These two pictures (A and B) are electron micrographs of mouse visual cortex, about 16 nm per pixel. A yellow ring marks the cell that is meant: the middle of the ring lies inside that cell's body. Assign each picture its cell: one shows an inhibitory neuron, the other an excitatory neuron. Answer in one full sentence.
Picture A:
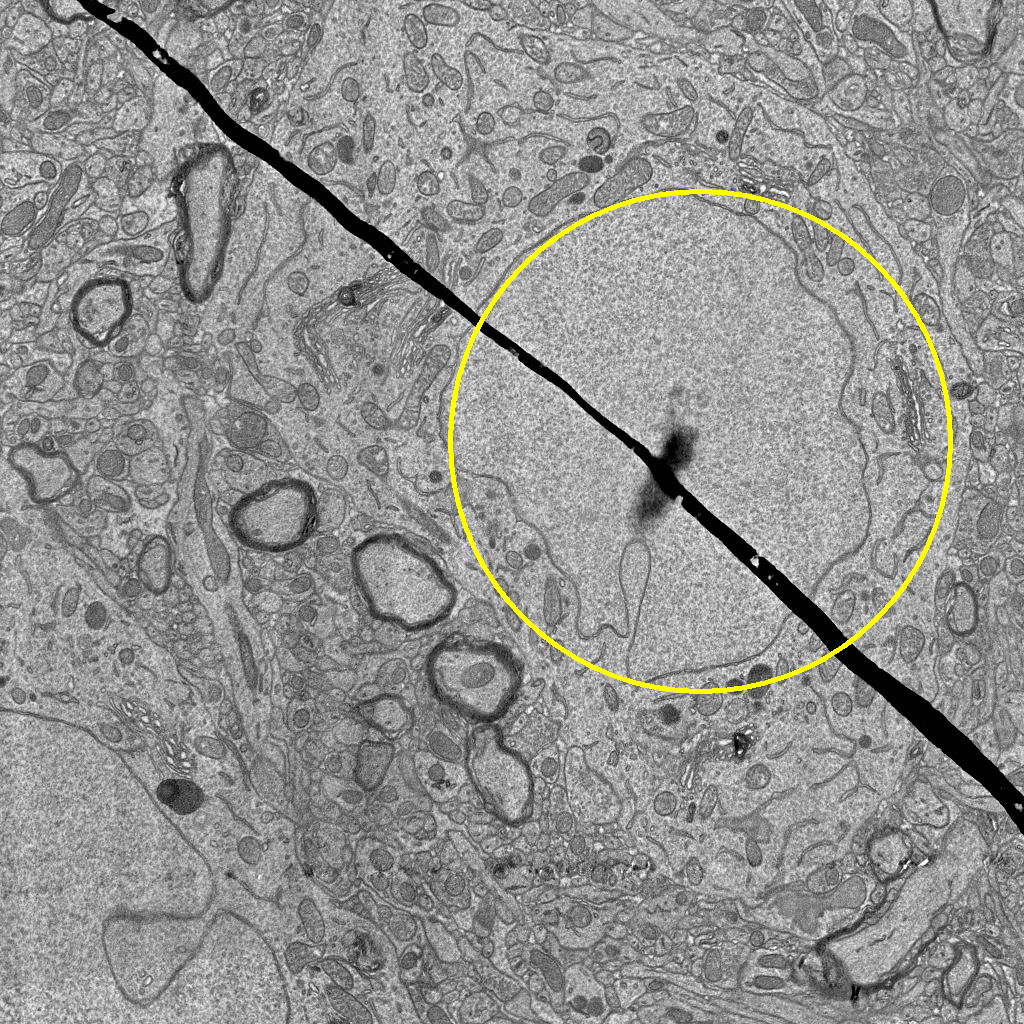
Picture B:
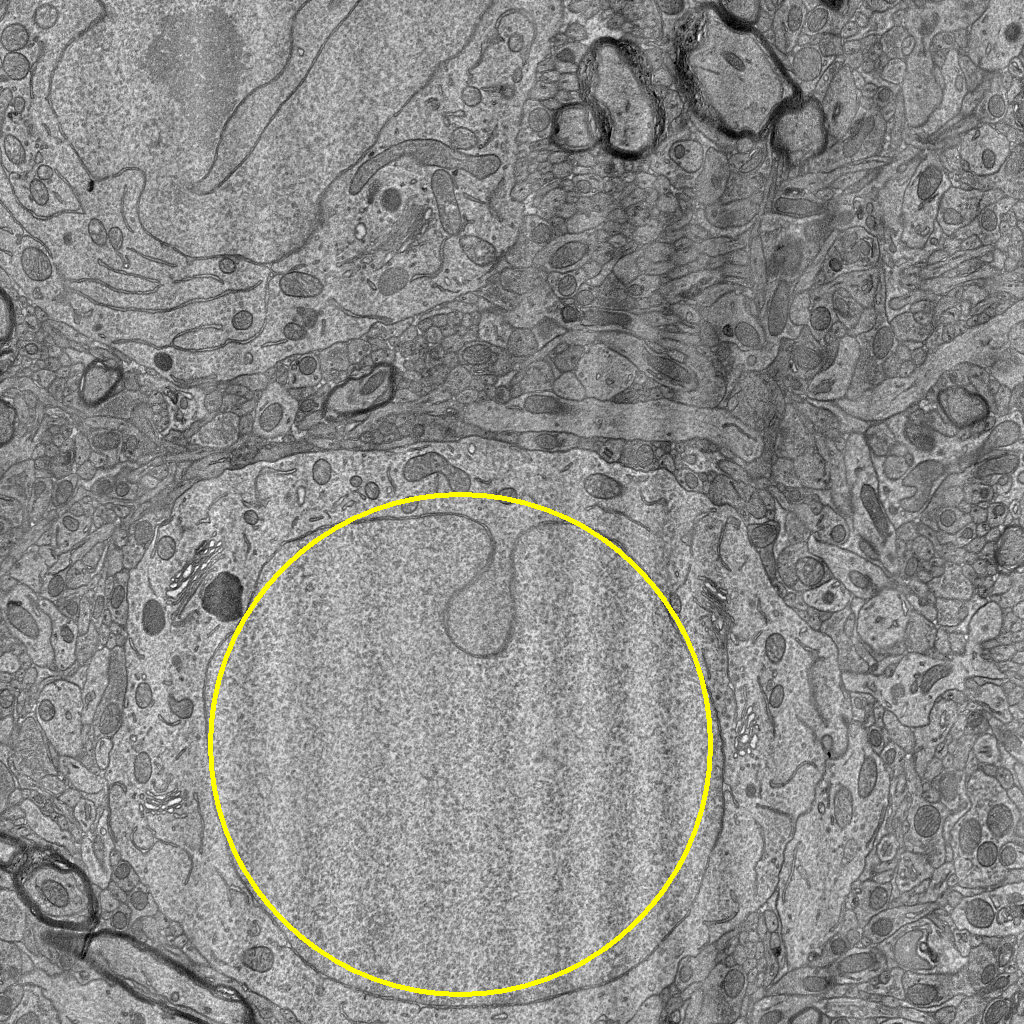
Picture A shows an inhibitory neuron and picture B shows an excitatory neuron.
